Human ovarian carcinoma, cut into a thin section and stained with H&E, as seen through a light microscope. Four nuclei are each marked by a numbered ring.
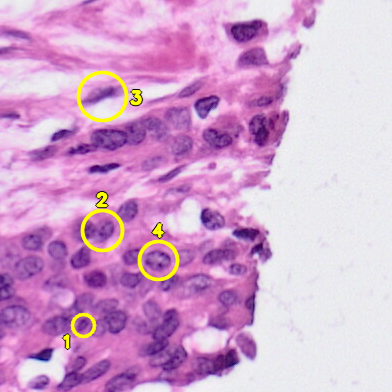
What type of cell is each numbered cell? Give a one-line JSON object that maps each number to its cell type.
{"1": "carcinoma cell", "2": "carcinoma cell", "3": "fibroblast", "4": "macrophage or monocyte"}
